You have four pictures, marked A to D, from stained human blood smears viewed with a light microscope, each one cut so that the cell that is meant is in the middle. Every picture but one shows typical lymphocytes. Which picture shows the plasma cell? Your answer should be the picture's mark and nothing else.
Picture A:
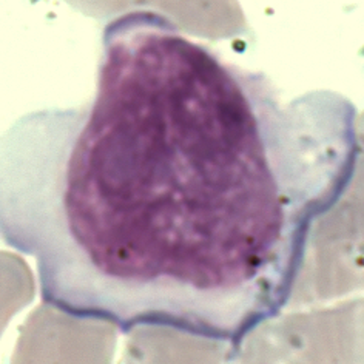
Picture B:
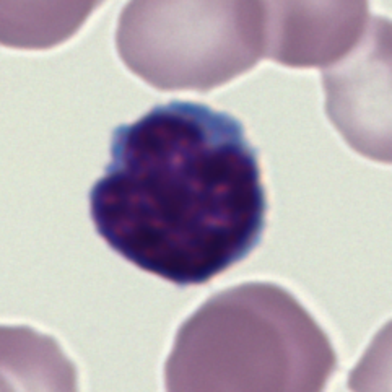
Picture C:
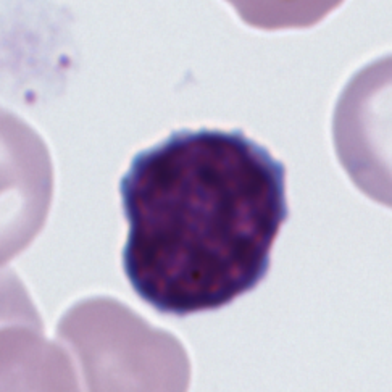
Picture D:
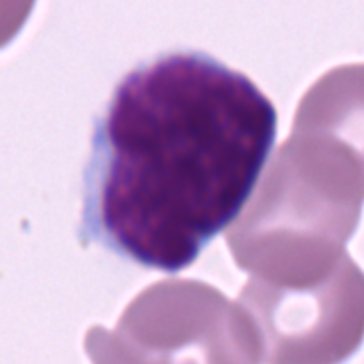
A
